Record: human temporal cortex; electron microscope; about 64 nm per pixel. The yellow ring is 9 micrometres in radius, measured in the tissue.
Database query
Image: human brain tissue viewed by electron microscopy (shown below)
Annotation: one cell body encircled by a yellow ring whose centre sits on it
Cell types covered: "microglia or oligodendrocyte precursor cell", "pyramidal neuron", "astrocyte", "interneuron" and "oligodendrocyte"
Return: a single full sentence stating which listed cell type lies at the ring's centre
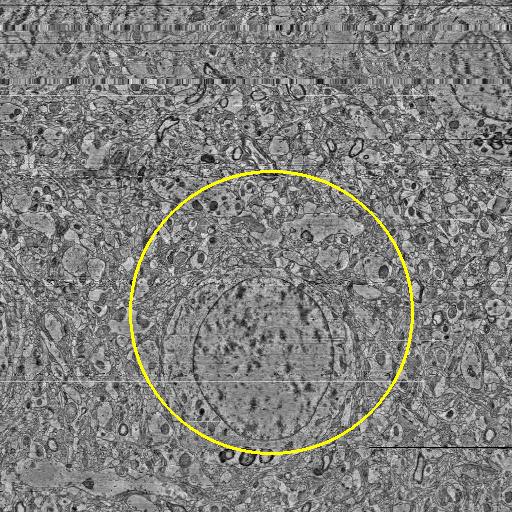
In the image, the cell lying at the ring's centre is a pyramidal neuron.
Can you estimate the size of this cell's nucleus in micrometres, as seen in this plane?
About 11 by 9 micrometers for the nucleus, in this plane.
